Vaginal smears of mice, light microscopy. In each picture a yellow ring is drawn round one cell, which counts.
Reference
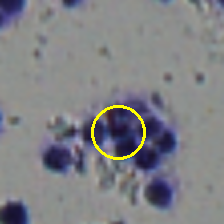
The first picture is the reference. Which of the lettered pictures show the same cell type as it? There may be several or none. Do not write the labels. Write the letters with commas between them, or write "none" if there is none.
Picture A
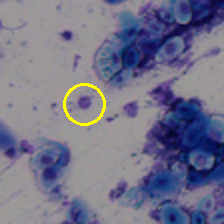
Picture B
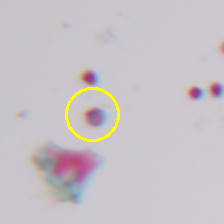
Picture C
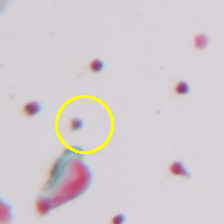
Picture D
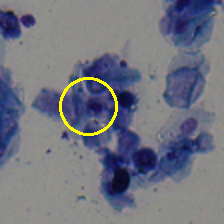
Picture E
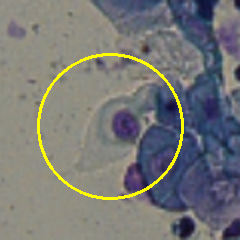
A, B, C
